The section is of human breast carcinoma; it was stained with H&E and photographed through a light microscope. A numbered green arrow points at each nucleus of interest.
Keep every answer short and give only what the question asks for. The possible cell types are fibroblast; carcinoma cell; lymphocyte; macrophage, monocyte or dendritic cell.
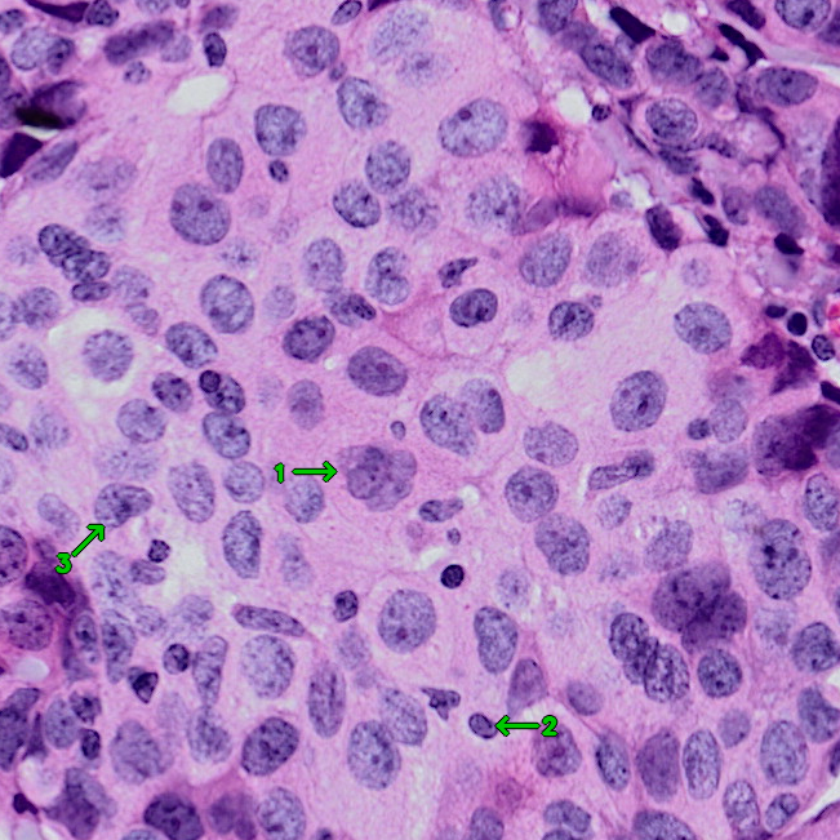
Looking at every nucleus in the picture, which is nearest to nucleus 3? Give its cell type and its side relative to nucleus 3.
a carcinoma cell; above nucleus 3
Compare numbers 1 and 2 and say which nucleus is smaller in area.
2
